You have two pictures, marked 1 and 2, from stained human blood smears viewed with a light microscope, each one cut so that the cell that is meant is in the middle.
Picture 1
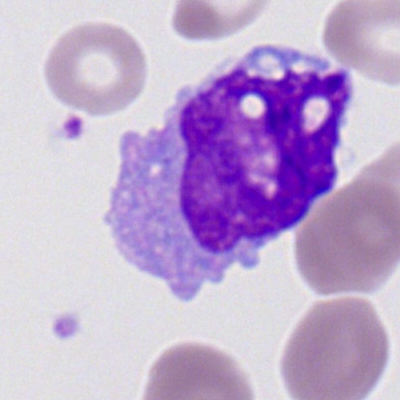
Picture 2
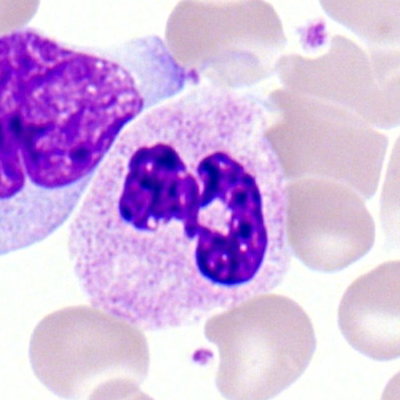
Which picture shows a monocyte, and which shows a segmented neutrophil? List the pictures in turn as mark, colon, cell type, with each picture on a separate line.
1: monocyte
2: segmented neutrophil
